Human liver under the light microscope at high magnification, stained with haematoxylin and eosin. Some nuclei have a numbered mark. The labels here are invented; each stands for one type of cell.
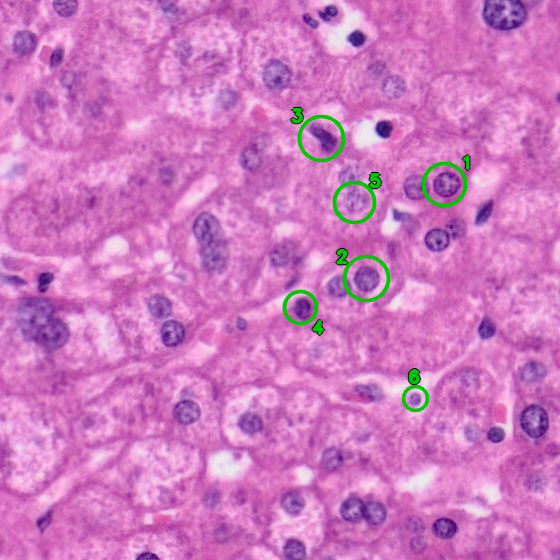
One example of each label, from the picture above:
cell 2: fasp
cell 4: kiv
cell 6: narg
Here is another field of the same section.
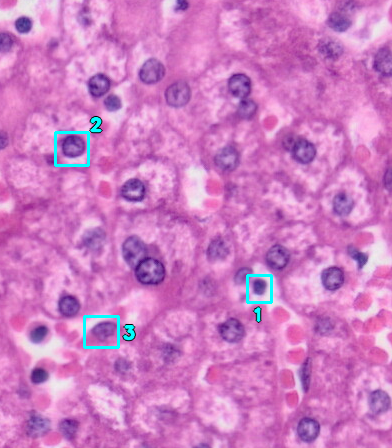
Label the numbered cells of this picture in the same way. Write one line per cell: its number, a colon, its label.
1: narg
2: fasp
3: kiv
